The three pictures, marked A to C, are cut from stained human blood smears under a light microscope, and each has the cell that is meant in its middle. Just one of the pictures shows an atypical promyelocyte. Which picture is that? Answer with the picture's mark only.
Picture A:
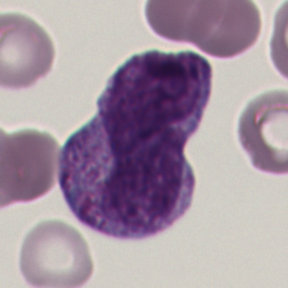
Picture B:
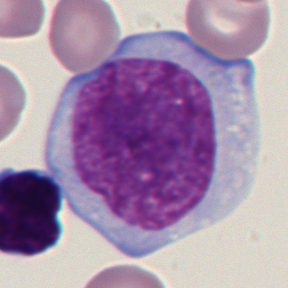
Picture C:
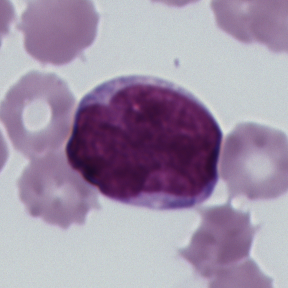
A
